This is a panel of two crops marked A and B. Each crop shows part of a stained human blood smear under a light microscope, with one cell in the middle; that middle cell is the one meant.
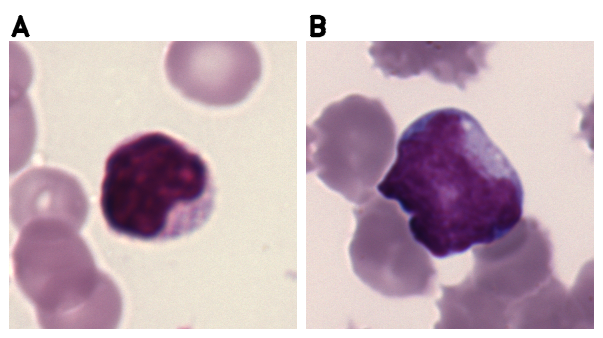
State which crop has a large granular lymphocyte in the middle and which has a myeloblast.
A: large granular lymphocyte
B: myeloblast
